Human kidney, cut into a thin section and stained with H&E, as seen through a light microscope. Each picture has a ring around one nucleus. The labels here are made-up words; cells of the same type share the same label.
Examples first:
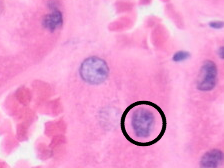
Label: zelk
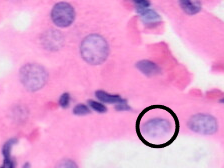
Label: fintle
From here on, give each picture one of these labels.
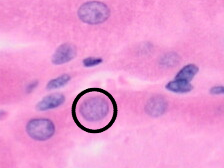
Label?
zelk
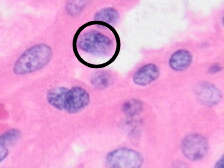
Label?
fintle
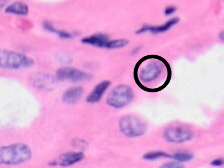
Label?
fintle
